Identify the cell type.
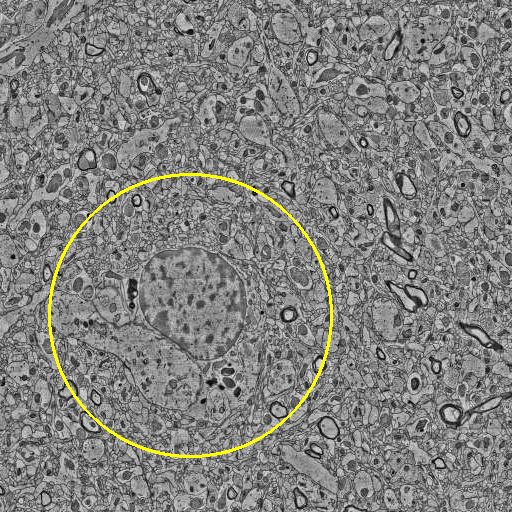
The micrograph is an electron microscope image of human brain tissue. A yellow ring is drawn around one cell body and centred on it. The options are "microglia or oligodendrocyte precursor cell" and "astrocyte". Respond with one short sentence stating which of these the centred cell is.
The cell body in the ring belongs to a microglial cell or oligodendrocyte precursor cell.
